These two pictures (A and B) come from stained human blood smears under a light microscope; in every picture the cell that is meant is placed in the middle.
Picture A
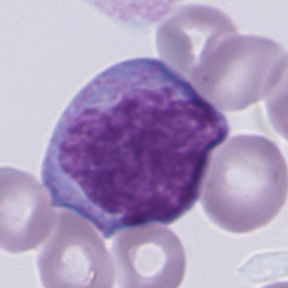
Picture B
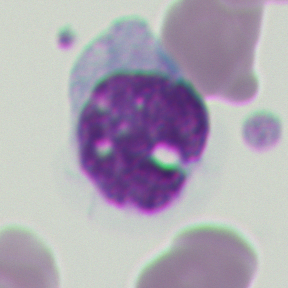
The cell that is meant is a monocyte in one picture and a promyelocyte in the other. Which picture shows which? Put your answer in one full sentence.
Picture A shows a promyelocyte and picture B shows a monocyte.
